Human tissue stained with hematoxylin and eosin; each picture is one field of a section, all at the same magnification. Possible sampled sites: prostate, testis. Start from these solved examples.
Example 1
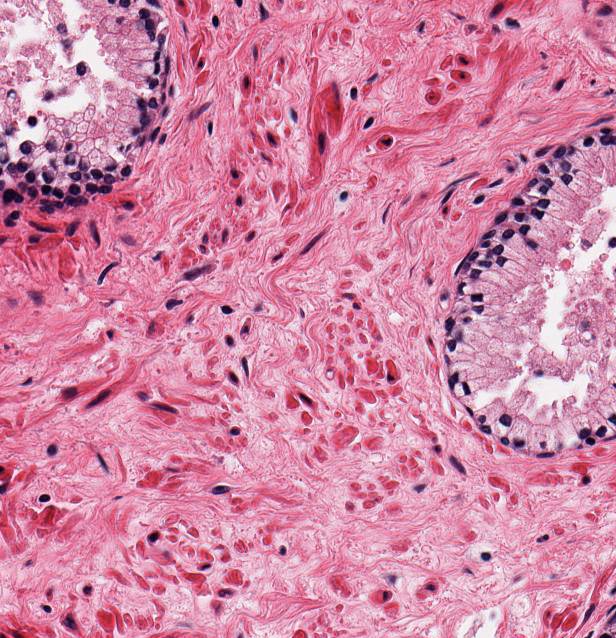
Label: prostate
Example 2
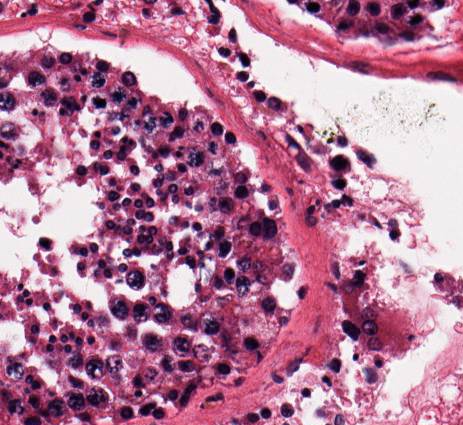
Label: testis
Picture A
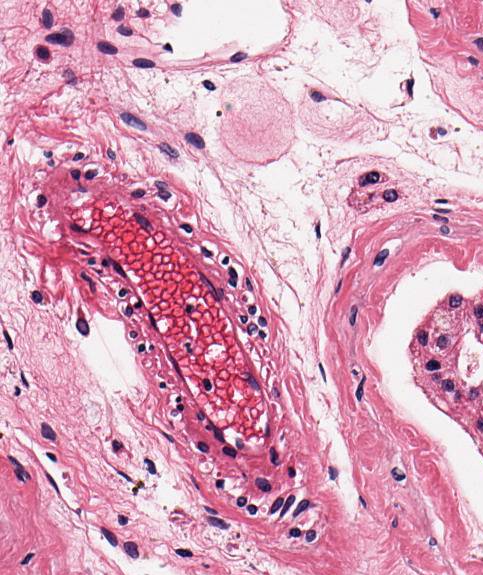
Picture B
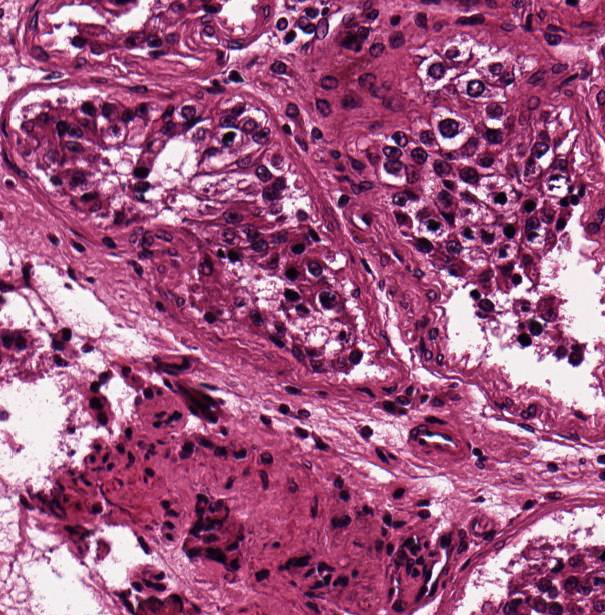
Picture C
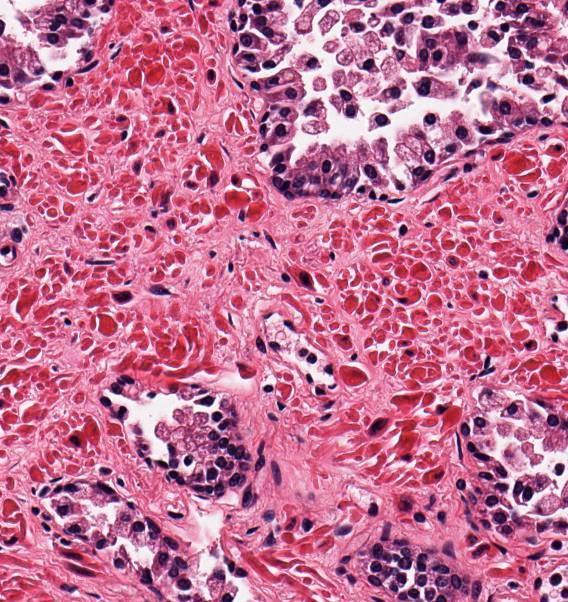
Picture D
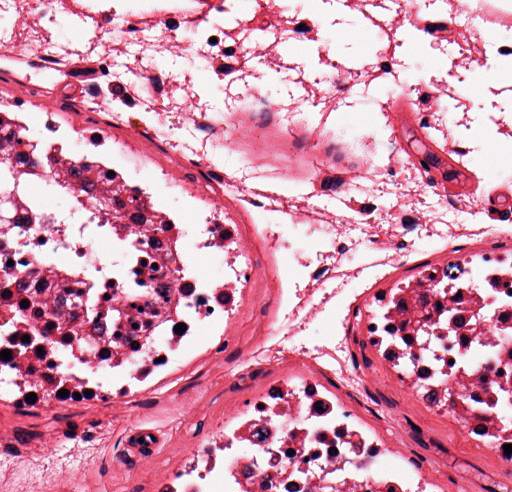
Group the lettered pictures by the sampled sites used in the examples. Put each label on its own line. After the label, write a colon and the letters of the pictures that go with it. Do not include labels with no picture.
prostate: C
testis: A, B, D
